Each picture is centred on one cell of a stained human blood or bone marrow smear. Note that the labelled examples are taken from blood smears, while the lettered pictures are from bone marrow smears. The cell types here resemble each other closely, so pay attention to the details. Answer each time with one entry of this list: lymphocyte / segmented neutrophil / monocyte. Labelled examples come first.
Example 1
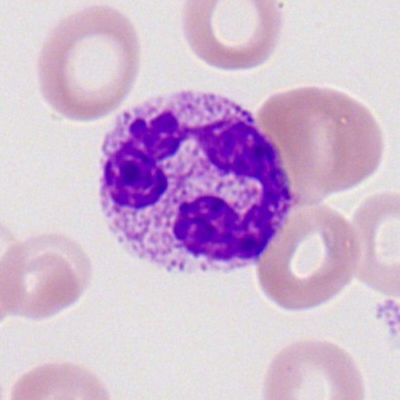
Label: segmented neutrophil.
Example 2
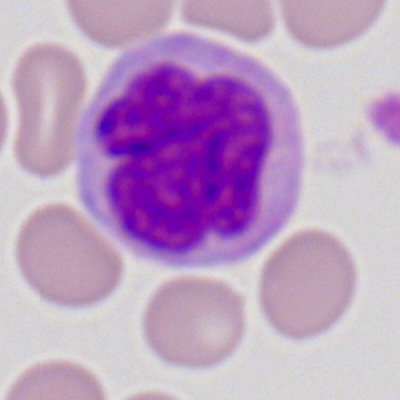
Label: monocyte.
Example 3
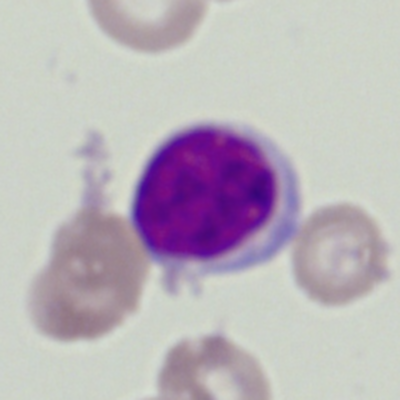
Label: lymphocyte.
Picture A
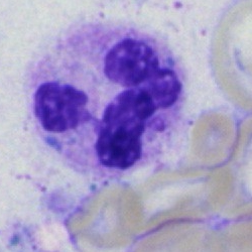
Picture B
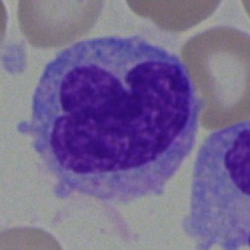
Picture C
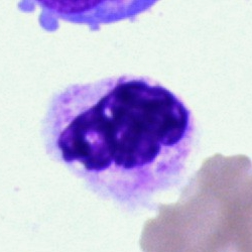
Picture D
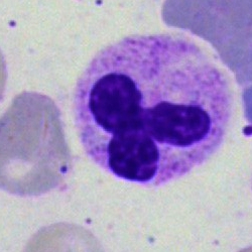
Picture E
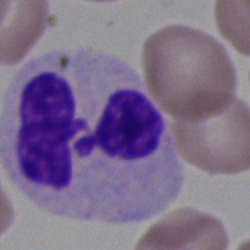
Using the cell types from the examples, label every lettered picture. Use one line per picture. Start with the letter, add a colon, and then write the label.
A: segmented neutrophil.
B: monocyte.
C: segmented neutrophil.
D: segmented neutrophil.
E: segmented neutrophil.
